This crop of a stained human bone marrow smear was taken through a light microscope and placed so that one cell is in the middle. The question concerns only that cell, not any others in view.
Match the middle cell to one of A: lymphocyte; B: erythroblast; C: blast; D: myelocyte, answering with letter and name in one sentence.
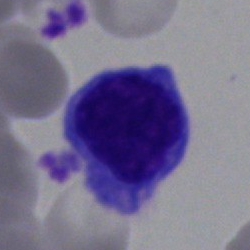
Well, the cell in the middle is a lymphocyte, making option A right.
